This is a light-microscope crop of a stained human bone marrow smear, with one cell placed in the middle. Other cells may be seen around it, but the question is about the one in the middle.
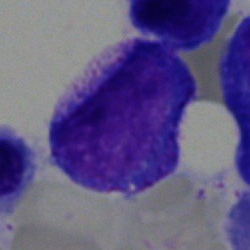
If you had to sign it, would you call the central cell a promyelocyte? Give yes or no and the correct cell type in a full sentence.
Yes, the cell shown at the crop's centre is a promyelocyte.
